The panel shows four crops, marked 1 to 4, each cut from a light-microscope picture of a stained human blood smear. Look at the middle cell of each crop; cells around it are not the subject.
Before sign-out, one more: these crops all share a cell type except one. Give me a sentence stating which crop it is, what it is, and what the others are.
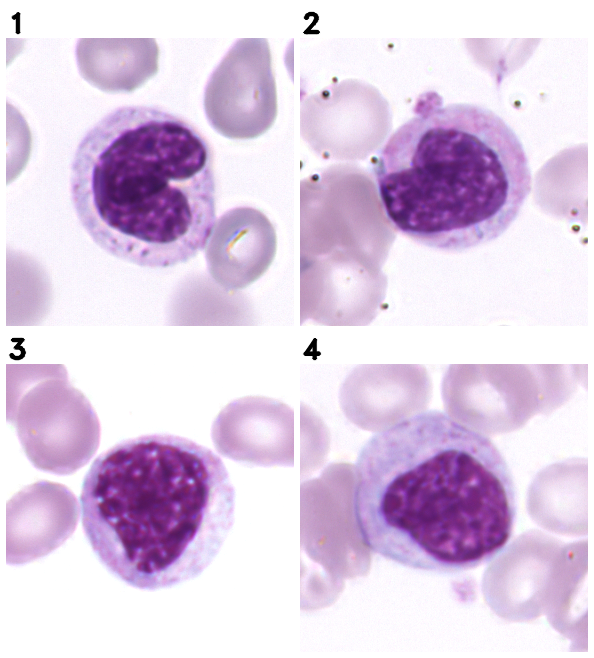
Crop 1 is the odd one out, being a band neutrophil, while all the other crops show metamyelocytes.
